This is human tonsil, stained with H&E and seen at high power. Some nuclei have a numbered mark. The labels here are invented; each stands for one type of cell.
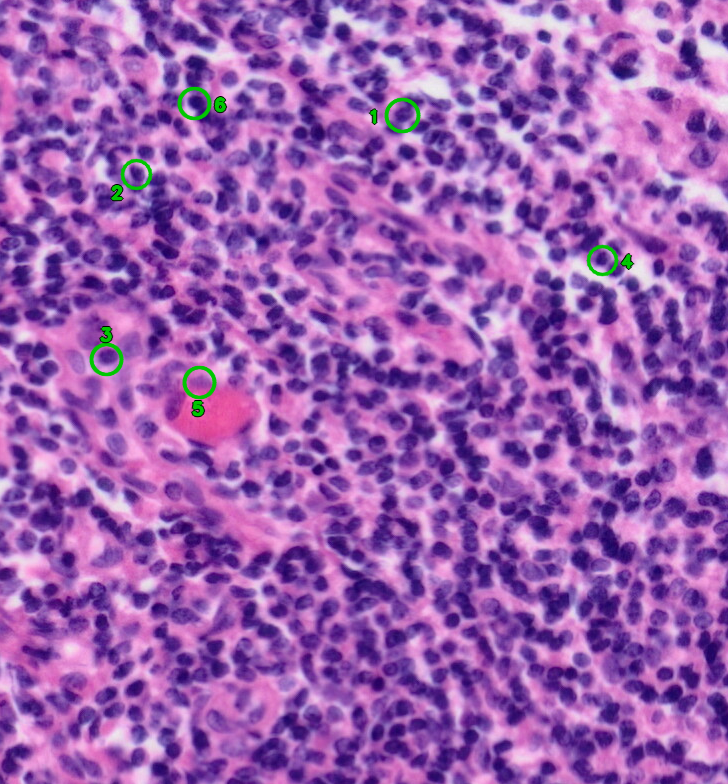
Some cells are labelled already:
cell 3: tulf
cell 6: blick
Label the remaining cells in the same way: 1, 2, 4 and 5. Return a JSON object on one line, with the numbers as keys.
{"1": "blick", "2": "blick", "4": "blick", "5": "tulf"}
